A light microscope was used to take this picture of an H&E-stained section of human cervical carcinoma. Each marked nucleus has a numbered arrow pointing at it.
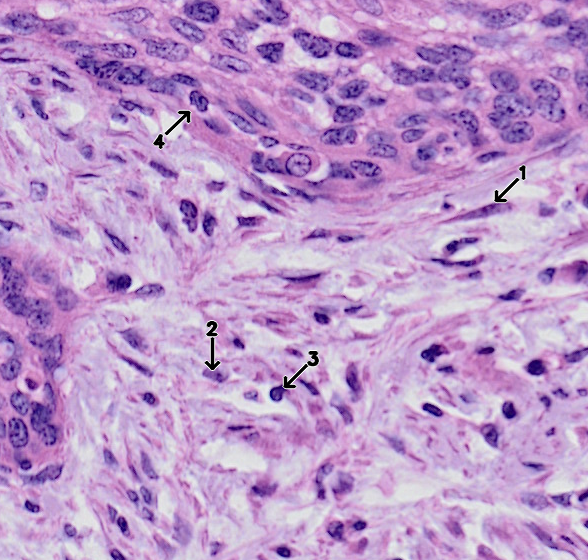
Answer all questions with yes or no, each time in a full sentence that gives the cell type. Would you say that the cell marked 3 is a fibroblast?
No, cell 3 is a lymphocyte; it is not a fibroblast.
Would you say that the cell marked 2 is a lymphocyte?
No, it is a fibroblast, not a lymphocyte, at number 2.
